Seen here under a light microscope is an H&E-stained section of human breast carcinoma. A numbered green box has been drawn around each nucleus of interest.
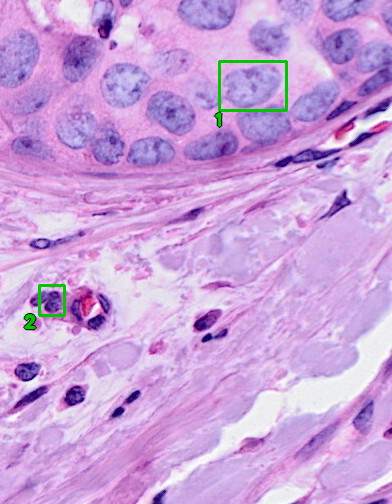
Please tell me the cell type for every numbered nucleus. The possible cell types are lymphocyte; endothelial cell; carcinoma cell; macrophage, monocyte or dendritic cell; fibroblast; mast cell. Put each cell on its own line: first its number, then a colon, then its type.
1: carcinoma cell
2: endothelial cell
